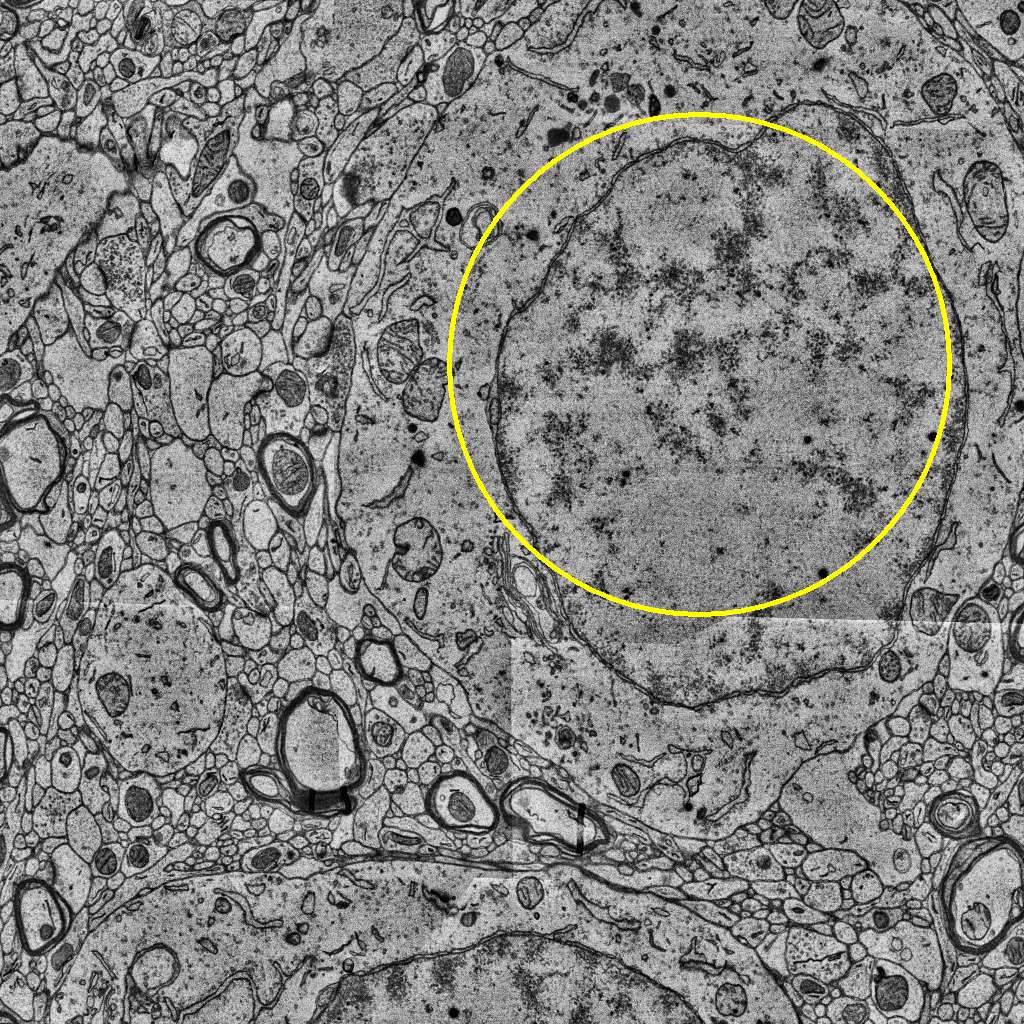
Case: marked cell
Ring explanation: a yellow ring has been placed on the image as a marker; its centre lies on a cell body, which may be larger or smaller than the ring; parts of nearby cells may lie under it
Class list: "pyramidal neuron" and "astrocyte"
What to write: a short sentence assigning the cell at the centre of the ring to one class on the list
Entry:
The cell at the ring's centre is a pyramidal neuron.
